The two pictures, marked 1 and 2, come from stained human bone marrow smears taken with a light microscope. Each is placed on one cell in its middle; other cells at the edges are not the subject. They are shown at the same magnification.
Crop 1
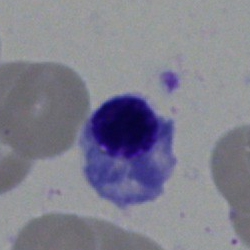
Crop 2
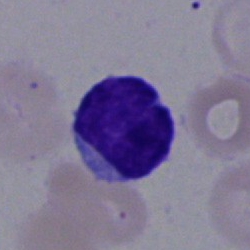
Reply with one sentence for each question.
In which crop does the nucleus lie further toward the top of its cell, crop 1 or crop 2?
Seen within its cell, the nucleus in crop 1 lies further toward the top.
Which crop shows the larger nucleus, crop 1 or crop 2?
Larger is the nucleus in crop 2, at roughly 2.5 times the area of the other.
